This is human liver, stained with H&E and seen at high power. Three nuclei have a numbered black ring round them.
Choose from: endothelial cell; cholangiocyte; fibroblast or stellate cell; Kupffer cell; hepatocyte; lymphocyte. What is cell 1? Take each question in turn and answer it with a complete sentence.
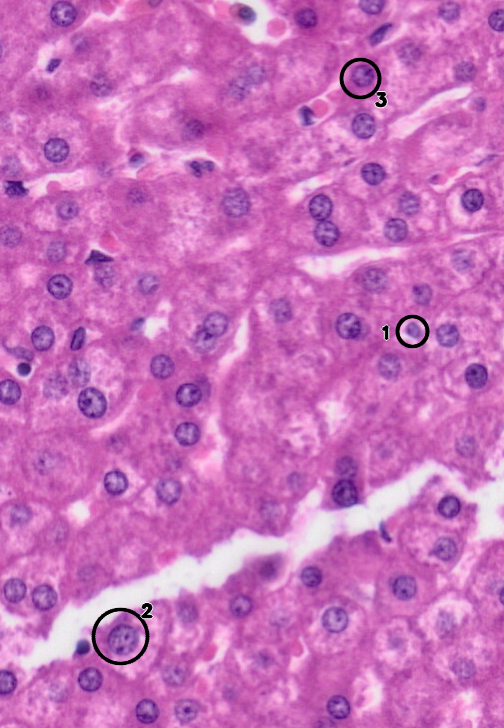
The cell assigned the number 1 is a lymphocyte.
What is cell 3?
Classified as a hepatocyte is the cell with the number 3.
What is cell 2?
Among the marked cells, number 2 is a hepatocyte.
